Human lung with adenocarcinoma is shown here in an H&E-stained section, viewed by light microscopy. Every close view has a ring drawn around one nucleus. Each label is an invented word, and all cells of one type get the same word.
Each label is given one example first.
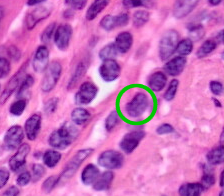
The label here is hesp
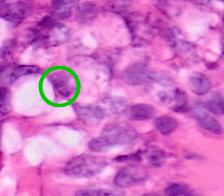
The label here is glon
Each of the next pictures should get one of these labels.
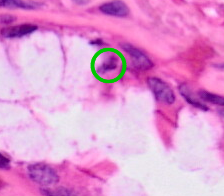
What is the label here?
glon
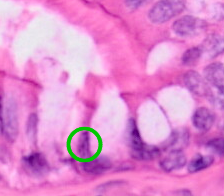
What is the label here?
glon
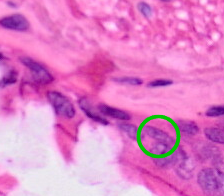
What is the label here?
glon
